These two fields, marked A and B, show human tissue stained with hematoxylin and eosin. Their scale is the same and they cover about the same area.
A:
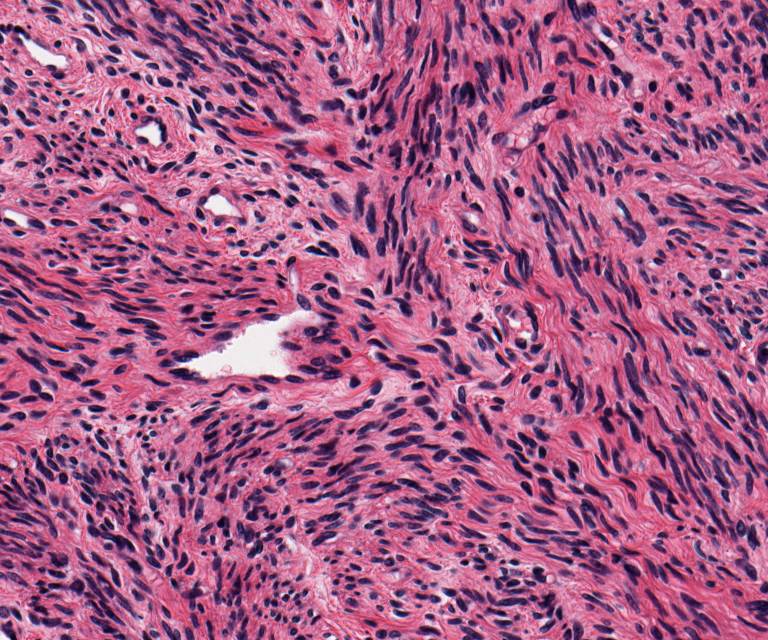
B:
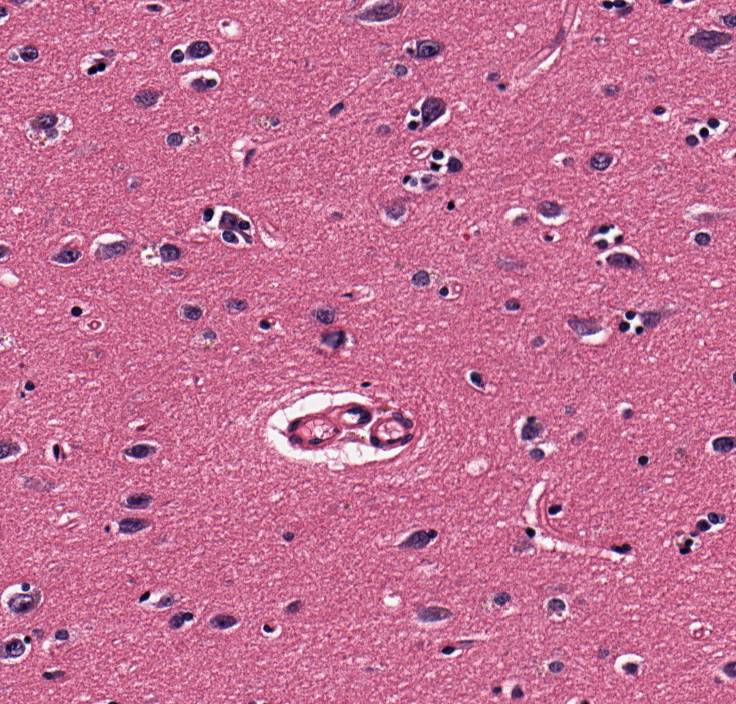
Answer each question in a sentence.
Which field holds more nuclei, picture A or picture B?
More nuclei lie in picture A than in picture B.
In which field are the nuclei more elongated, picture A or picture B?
The nuclei are more elongated in picture A.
